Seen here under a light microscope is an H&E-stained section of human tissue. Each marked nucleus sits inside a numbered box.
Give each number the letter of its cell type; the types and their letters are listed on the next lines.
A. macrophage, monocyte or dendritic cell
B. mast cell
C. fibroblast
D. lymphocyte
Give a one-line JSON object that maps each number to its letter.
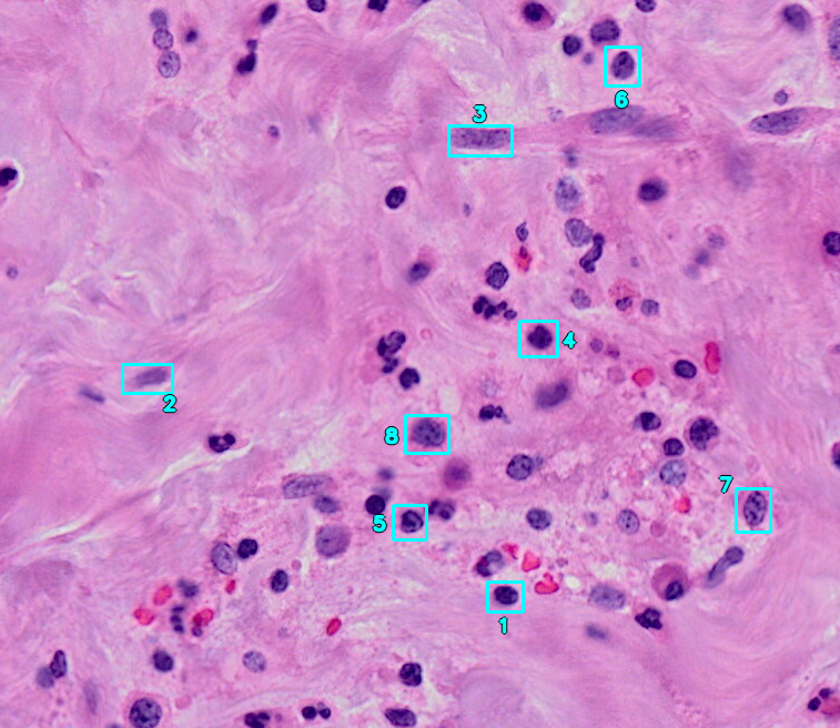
{"1": "D", "2": "C", "3": "C", "4": "D", "5": "D", "6": "D", "7": "B", "8": "B"}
